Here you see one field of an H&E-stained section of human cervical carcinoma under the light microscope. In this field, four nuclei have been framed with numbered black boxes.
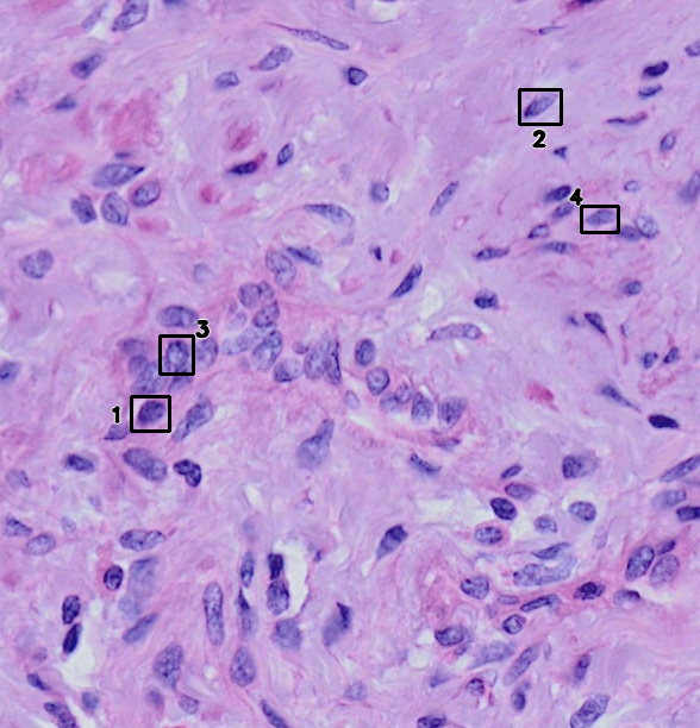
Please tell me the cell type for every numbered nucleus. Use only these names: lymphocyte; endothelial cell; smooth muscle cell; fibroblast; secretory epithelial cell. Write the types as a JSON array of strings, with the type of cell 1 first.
["lymphocyte", "fibroblast", "endothelial cell", "smooth muscle cell"]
